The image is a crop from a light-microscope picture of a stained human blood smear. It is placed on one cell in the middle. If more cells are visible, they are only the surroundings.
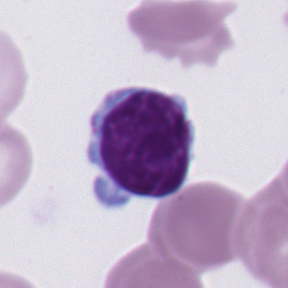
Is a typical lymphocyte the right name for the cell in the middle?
yes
